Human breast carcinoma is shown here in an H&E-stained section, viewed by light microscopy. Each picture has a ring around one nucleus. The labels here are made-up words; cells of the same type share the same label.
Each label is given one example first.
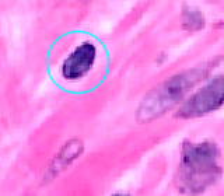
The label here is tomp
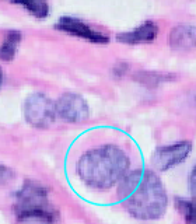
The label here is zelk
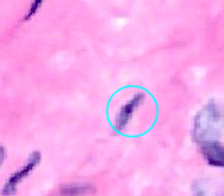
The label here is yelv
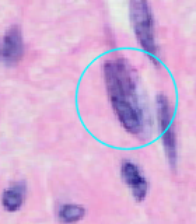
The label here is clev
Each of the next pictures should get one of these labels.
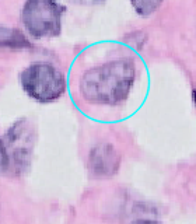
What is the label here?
zelk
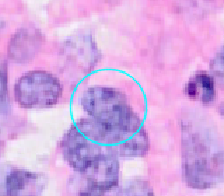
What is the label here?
zelk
